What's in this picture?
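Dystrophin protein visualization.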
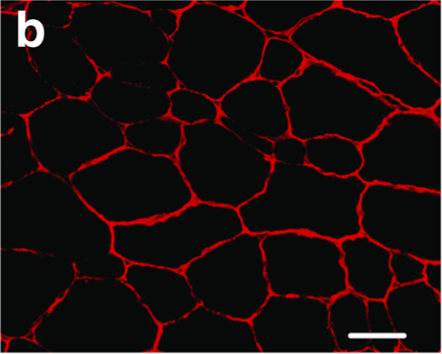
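This is a cross-section of skeletal muscle showing the muscle fiber membranes as a red network of closed outlines. The fibers are polygonal and closely packed, with varied sizes, and neighbouring fibers share thin borders. The fiber interiors are dark, and the red lines are slightly thicker where several fibers meet.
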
